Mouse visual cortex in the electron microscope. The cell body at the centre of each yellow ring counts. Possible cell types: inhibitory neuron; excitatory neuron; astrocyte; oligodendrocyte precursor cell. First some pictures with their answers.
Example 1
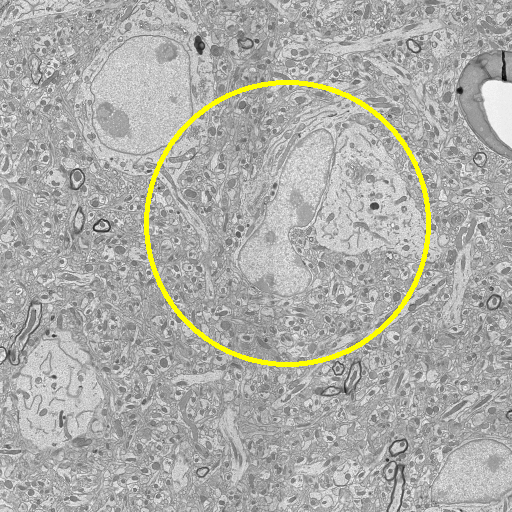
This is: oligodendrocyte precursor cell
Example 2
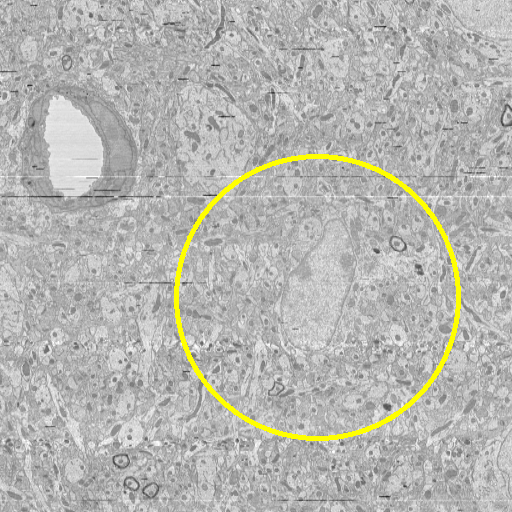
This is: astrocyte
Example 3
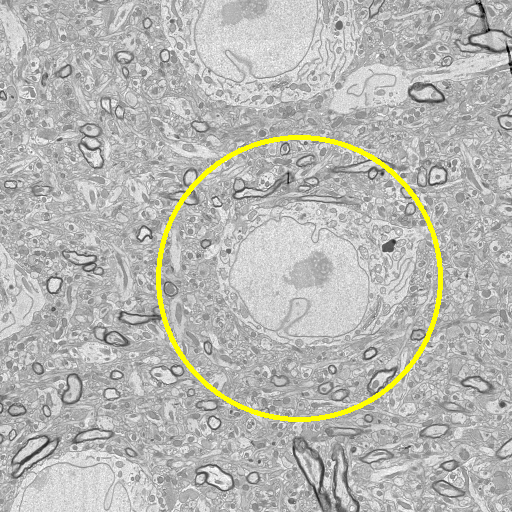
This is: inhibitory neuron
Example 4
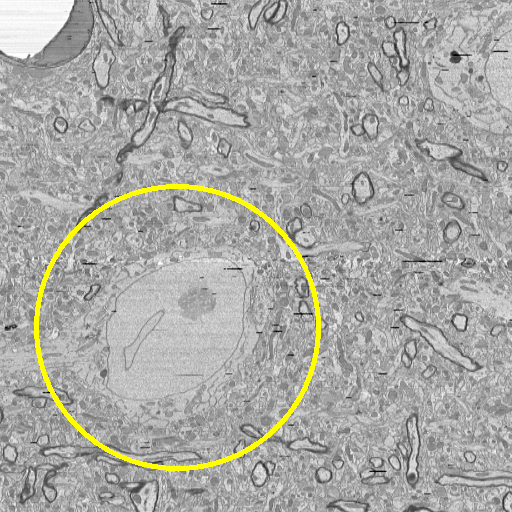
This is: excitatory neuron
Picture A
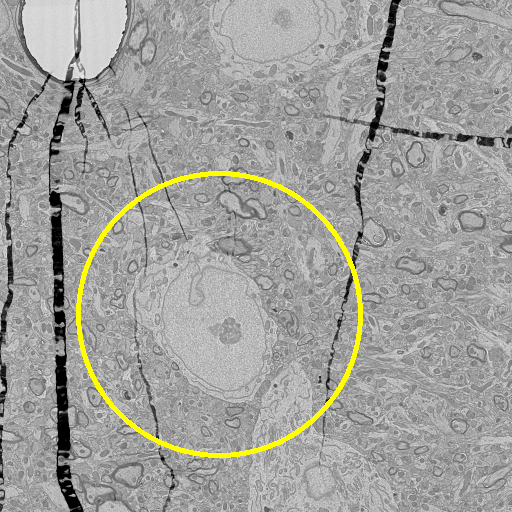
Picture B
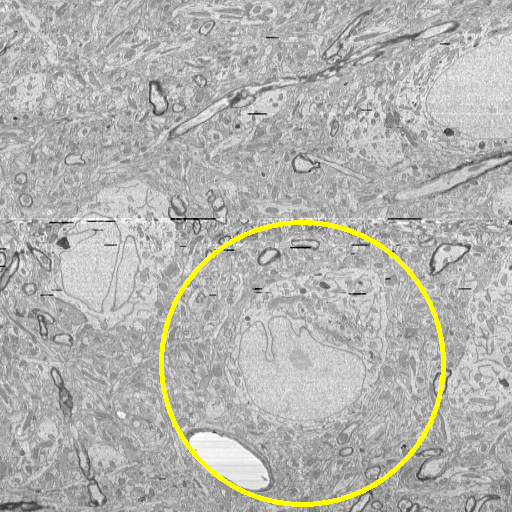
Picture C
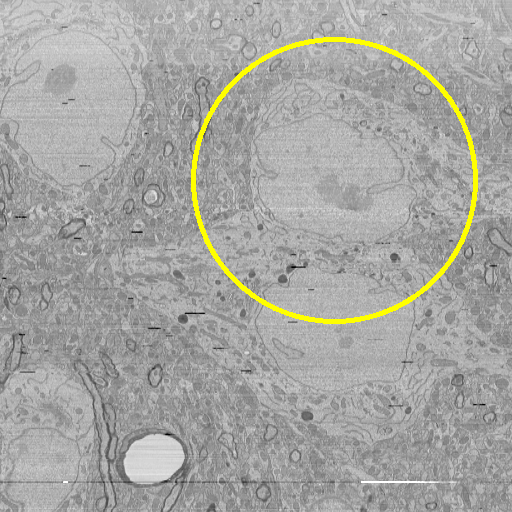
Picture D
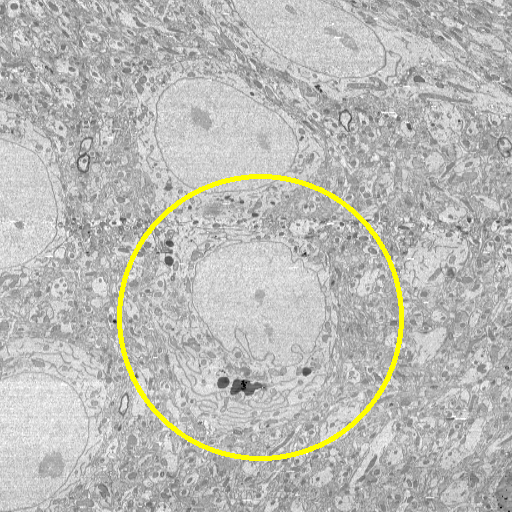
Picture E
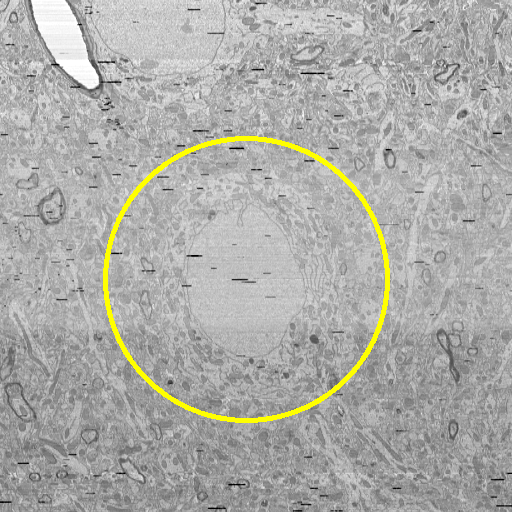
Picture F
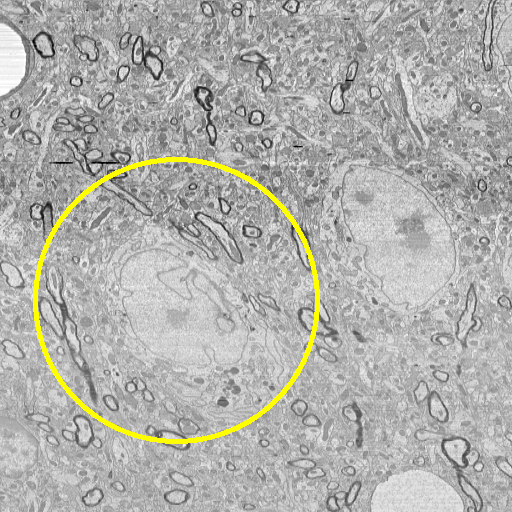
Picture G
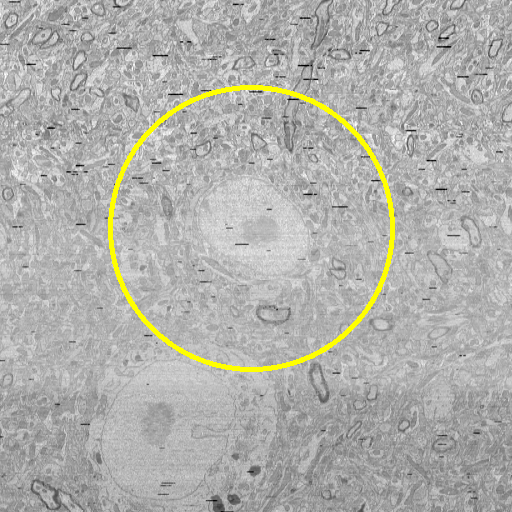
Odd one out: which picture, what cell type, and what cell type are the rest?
G (astrocyte) is the exception; every other picture is inhibitory neuron.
